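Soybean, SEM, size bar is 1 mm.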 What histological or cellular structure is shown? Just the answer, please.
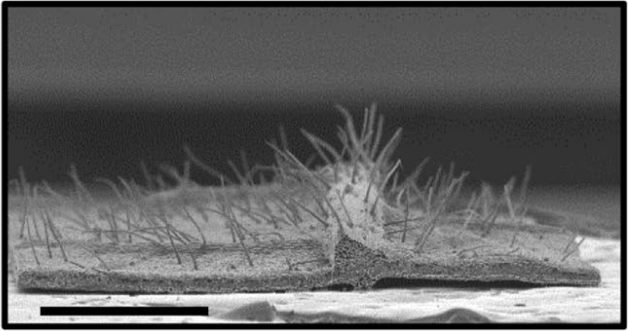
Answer: Leaf trichomes.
